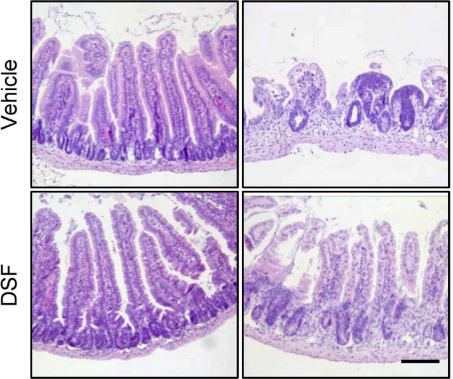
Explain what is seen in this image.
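Four longitudinal views of small intestinal mucosa, stained pink with purple nuclei. In the upper left and lower left images, tall slender villi stand in parallel rows above densely nucleated crypts. In the upper right image the villi are short and blunted, with few irregular crypts over a thin wall. The lower right image keeps villi of intermediate height, with a crowded, darkly stained crypt zone at the base.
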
